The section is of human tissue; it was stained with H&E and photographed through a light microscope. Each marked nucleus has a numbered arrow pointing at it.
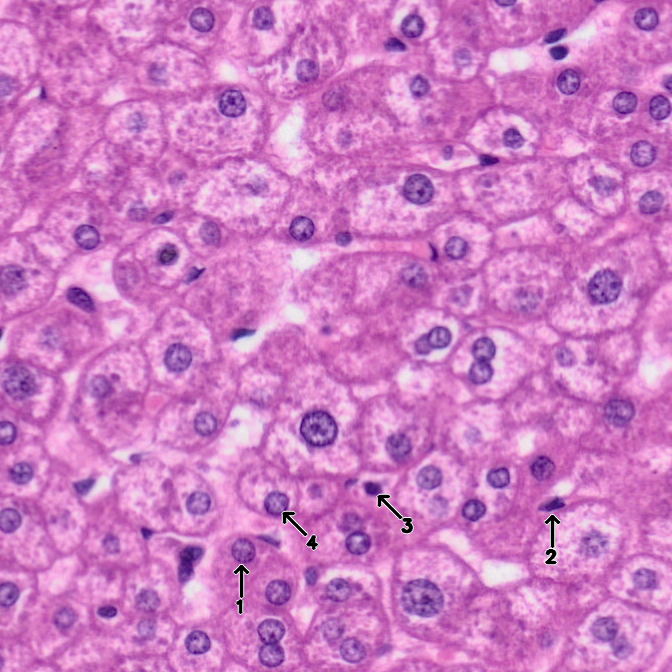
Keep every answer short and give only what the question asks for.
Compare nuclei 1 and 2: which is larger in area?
1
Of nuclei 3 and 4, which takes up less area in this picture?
3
